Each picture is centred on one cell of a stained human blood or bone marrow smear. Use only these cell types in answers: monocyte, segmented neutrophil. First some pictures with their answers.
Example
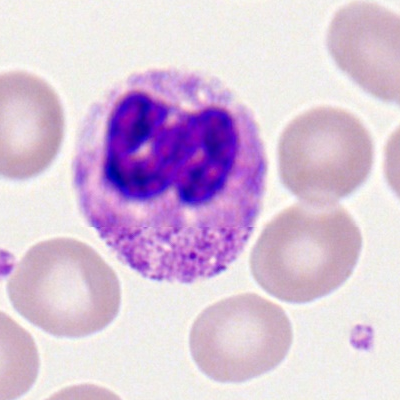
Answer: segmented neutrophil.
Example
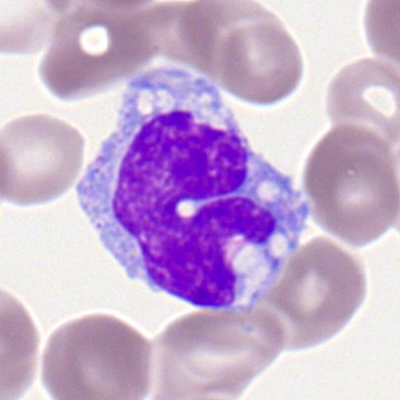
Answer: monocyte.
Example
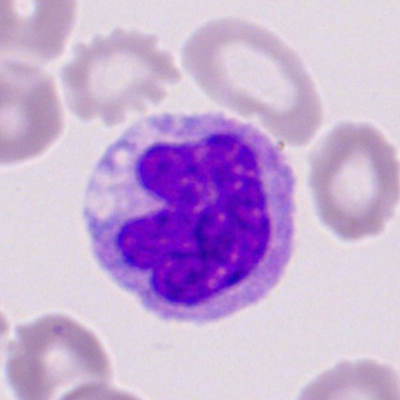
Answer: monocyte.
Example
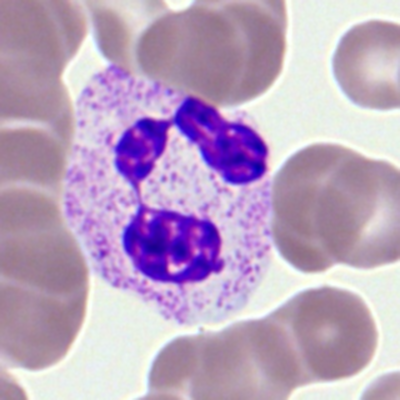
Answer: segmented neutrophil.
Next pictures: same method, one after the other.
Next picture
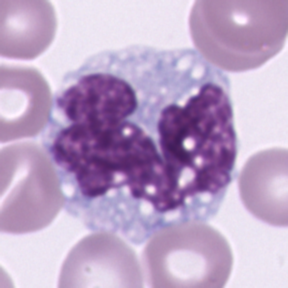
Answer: monocyte.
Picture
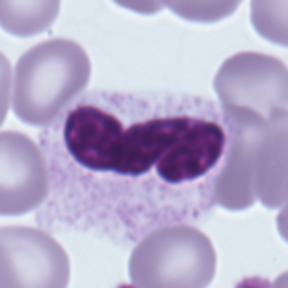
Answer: segmented neutrophil.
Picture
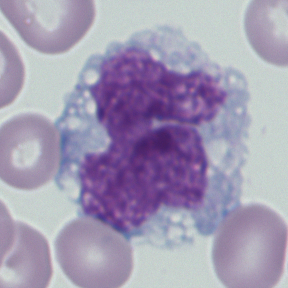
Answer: monocyte.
